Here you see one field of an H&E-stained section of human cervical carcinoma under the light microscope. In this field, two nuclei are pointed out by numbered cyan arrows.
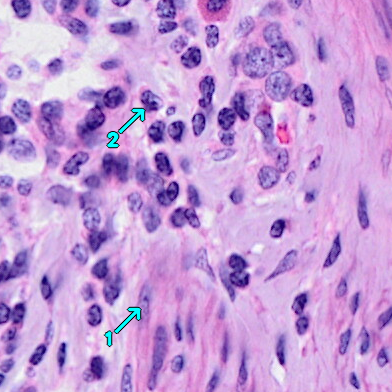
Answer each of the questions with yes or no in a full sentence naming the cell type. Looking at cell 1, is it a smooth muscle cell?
Yes, the cell at the mark numbered 1 is a smooth muscle cell.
